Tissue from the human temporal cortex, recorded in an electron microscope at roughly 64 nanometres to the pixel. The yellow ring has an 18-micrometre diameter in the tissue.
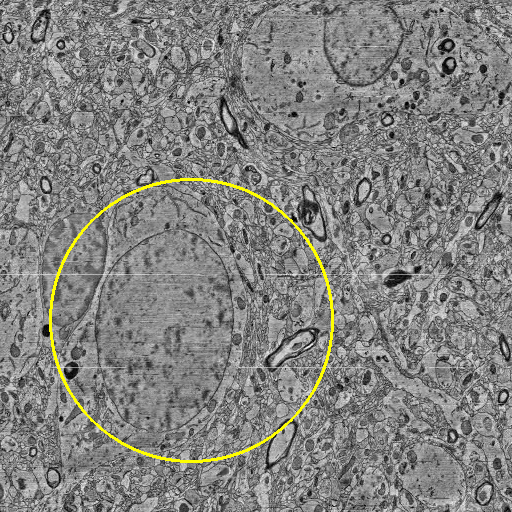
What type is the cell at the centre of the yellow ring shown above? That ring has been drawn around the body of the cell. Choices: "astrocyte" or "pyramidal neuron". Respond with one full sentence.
My answer is that a pyramidal neuron lies at the centre of the yellow ring above.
